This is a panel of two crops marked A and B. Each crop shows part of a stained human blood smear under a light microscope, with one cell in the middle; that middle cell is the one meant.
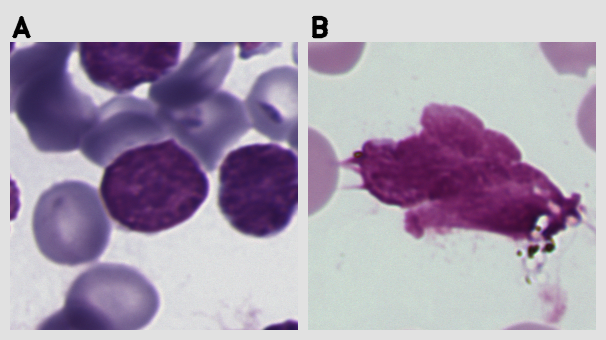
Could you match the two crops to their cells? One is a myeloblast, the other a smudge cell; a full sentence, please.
Here crop A is a myeloblast, and crop B is a smudge cell.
